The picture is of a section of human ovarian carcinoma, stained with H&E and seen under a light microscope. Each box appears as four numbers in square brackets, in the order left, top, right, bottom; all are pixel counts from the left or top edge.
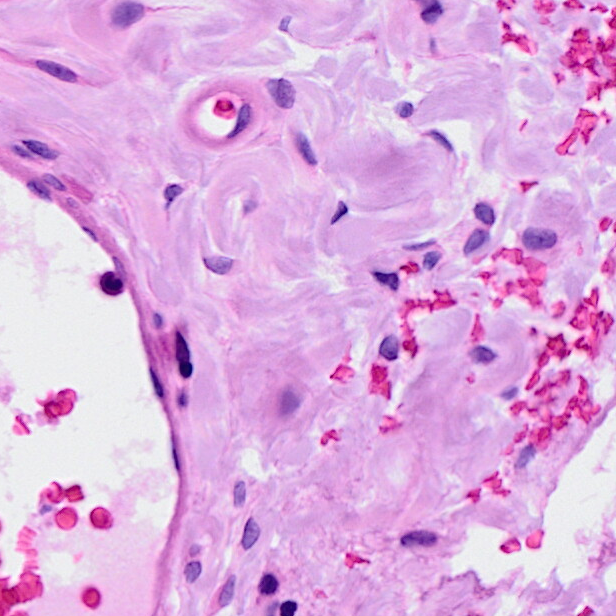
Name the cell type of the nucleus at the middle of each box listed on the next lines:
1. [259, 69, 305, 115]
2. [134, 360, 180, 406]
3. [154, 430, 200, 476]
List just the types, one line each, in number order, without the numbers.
fibroblast
endothelial cell
endothelial cell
